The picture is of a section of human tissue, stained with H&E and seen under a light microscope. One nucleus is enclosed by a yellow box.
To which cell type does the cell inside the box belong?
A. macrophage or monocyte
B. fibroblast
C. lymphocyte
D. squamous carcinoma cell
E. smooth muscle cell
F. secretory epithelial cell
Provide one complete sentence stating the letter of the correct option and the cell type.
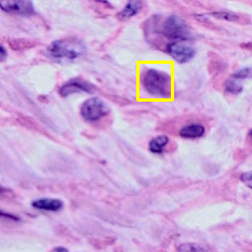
What option A states, that the cell inside the box is a macrophage or monocyte, is correct.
